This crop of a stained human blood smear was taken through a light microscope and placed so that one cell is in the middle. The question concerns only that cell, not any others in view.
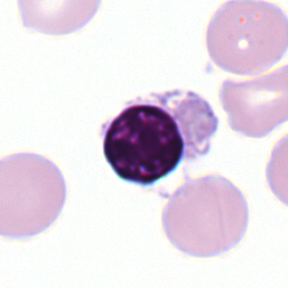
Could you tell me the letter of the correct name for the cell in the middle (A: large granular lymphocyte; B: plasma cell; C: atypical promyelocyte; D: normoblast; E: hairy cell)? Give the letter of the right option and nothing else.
D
